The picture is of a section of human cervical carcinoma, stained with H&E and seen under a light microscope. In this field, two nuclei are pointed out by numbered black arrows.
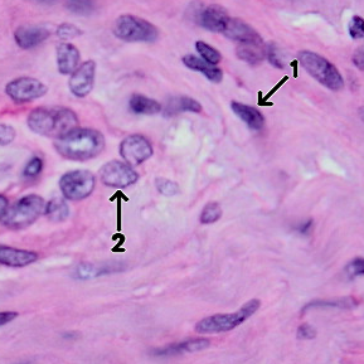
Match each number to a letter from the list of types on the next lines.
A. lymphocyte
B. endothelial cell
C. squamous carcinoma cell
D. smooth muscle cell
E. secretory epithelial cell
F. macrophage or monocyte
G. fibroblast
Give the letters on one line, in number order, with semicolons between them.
G; B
